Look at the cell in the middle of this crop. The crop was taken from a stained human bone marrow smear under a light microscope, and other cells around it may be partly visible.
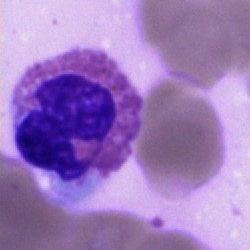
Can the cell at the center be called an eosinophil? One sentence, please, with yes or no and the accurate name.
Yes, the cell in the center of this crop is an eosinophil.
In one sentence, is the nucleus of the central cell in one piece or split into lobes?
In short, this nucleus is segmented into two or more parts.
